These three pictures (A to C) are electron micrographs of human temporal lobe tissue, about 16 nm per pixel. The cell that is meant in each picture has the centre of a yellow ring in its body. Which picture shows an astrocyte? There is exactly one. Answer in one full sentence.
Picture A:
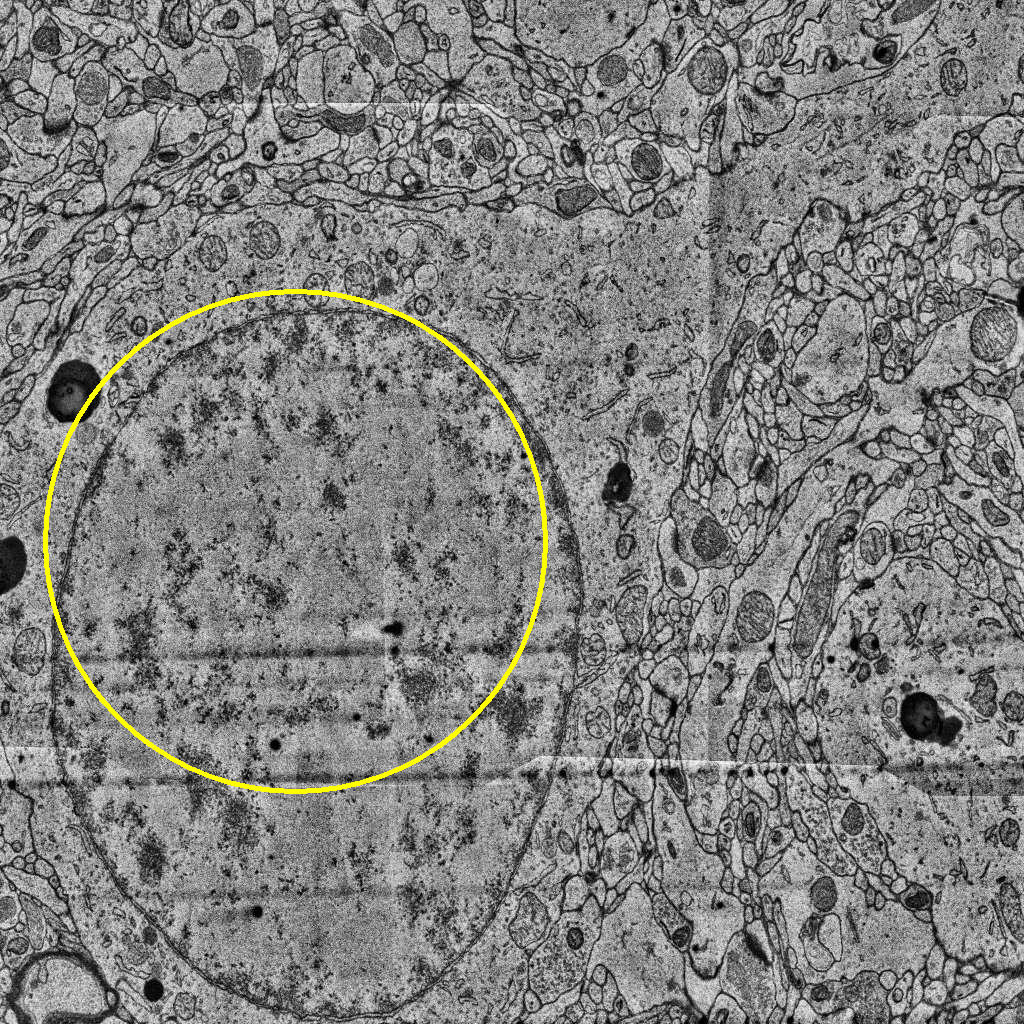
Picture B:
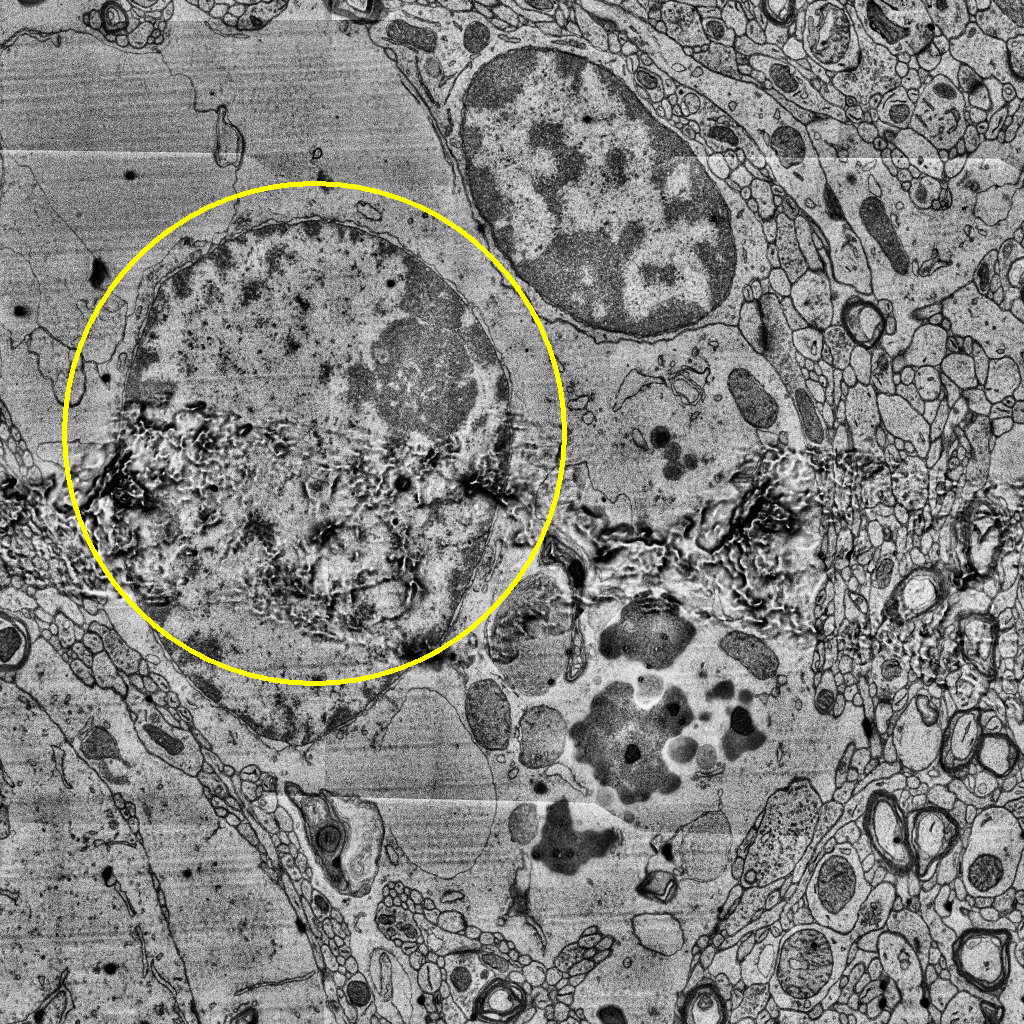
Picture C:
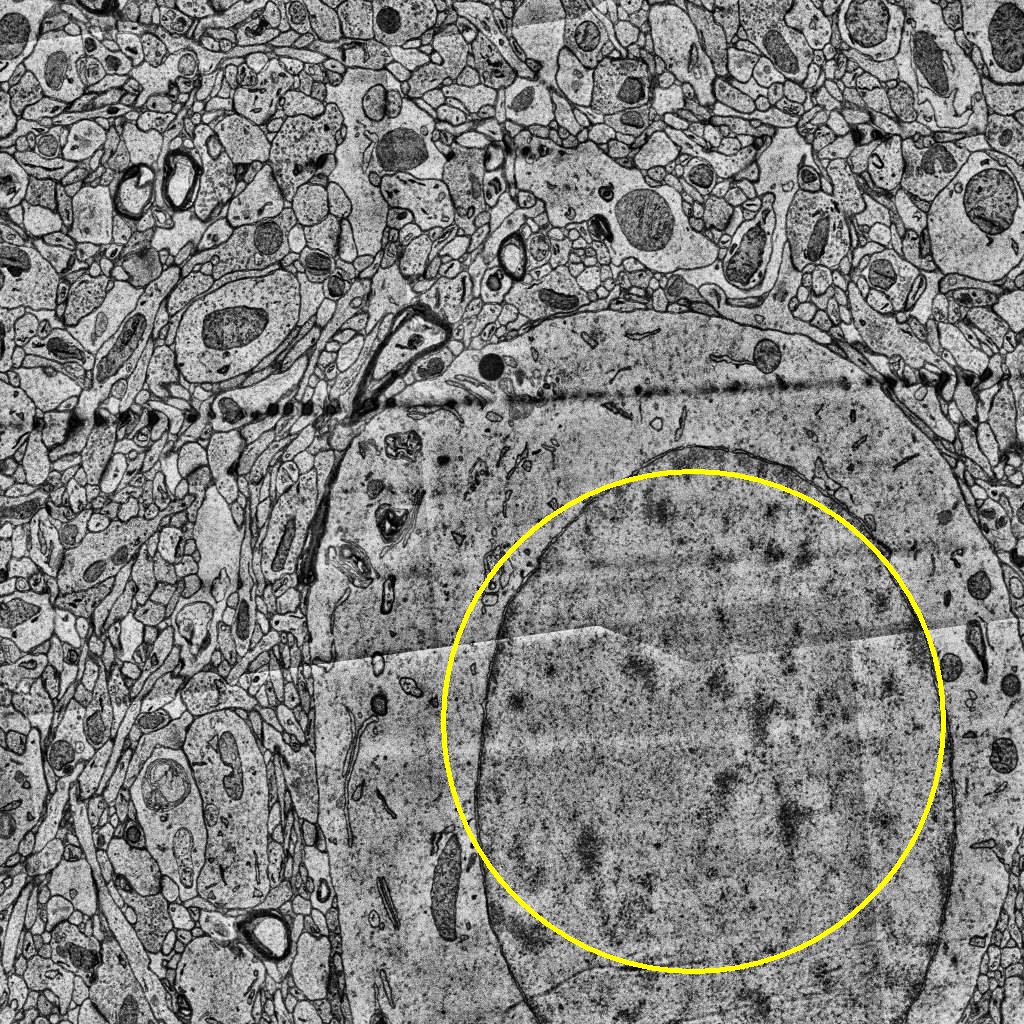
The picture with the astrocyte is B.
